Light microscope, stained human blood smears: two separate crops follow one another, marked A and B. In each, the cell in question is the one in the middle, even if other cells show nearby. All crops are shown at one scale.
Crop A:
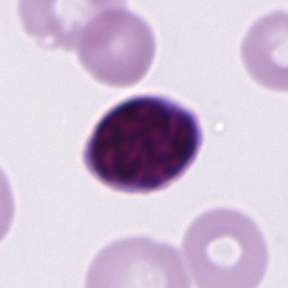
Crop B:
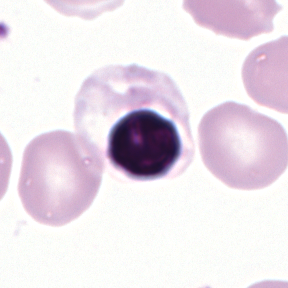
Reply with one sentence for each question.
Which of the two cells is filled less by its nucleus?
In crop B the nucleus takes up the smaller part of its cell.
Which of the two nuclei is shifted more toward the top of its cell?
It is the nucleus in crop A that lies further toward the top of its cell.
